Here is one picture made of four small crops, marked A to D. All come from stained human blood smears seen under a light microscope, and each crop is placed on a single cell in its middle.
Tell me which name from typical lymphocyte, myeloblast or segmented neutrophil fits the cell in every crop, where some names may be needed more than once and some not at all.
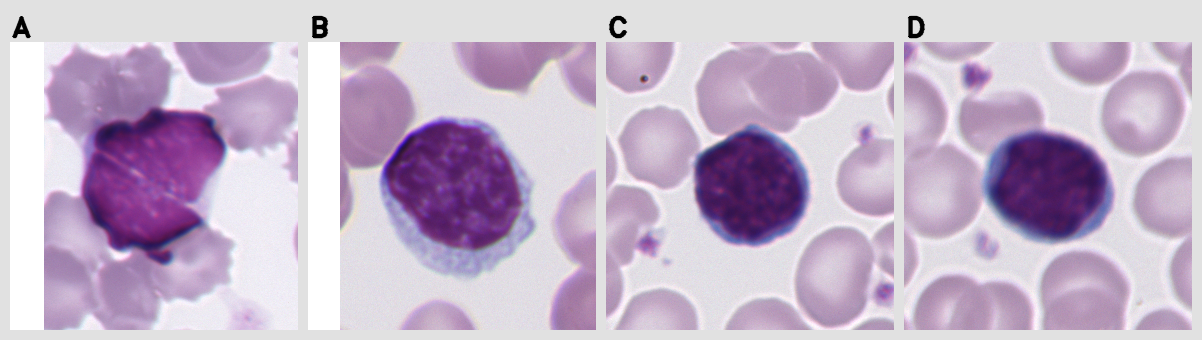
A: myeloblast
B: typical lymphocyte
C: typical lymphocyte
D: typical lymphocyte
